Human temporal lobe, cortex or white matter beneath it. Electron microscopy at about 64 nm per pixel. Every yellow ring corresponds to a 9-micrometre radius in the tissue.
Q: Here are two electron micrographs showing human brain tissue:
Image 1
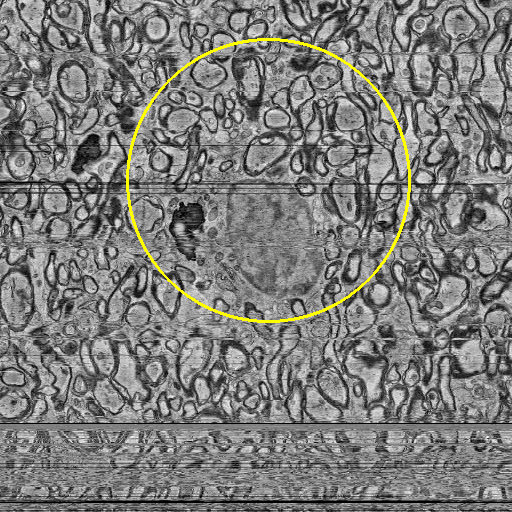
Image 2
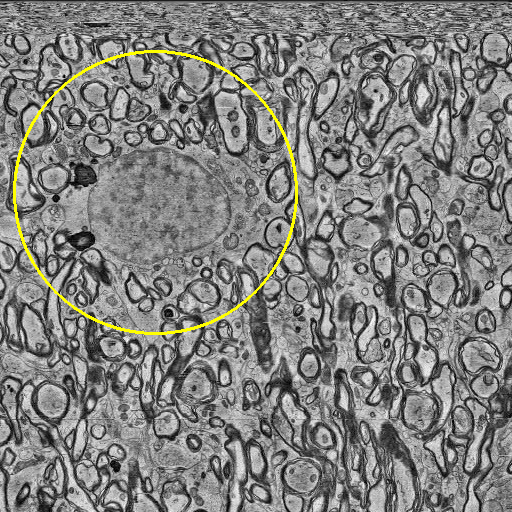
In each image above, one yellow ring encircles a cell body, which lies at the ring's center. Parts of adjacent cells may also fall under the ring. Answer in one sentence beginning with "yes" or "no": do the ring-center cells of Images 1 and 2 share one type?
Yes, in Images 1 and 2, the ring-center cells are both of one type.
